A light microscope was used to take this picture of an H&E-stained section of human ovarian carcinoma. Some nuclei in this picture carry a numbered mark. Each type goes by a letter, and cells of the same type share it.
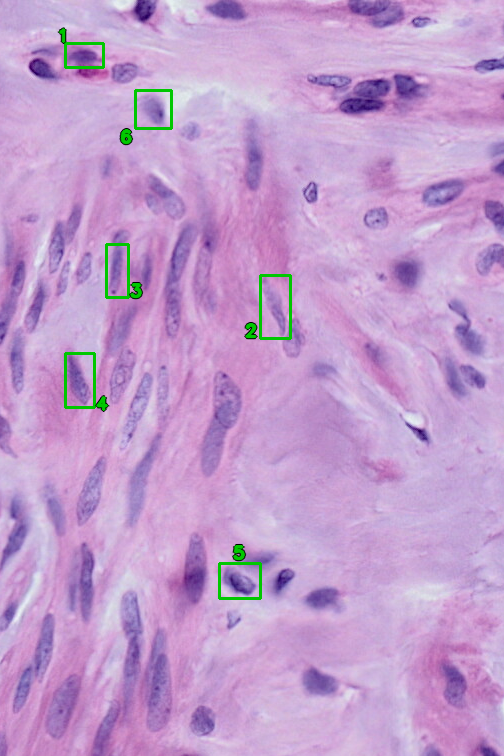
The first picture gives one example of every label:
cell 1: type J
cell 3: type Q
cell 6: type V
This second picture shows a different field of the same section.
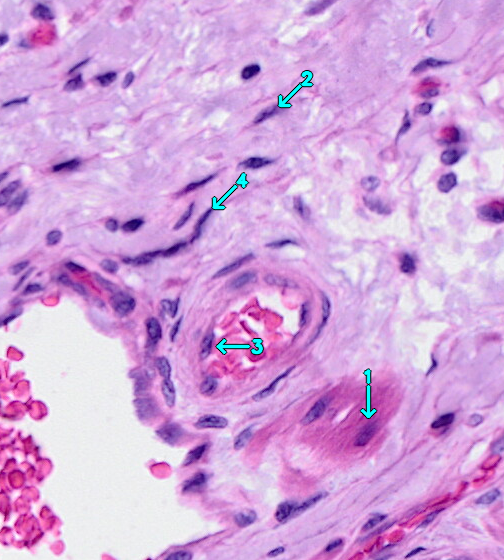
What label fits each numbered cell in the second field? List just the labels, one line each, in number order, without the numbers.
type Q
type V
type J
type V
